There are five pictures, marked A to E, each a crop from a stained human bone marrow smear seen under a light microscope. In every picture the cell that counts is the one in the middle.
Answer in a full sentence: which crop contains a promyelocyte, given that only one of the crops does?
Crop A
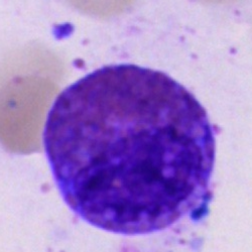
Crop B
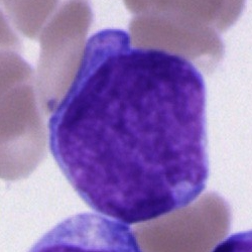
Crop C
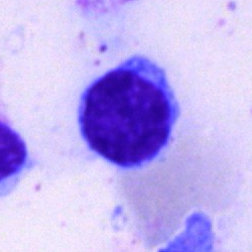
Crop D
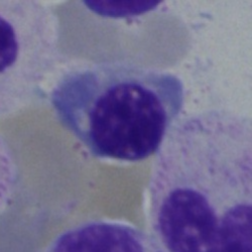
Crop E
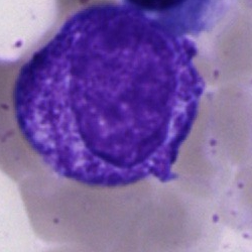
So the crop with a promyelocyte at its center is crop E.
